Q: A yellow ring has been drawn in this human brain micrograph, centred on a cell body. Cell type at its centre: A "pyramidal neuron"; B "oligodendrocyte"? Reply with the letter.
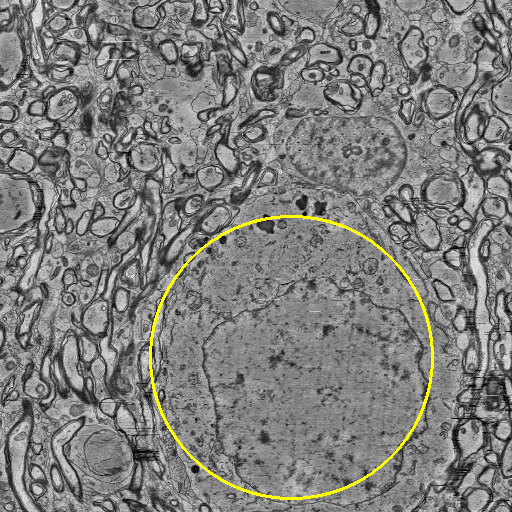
A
